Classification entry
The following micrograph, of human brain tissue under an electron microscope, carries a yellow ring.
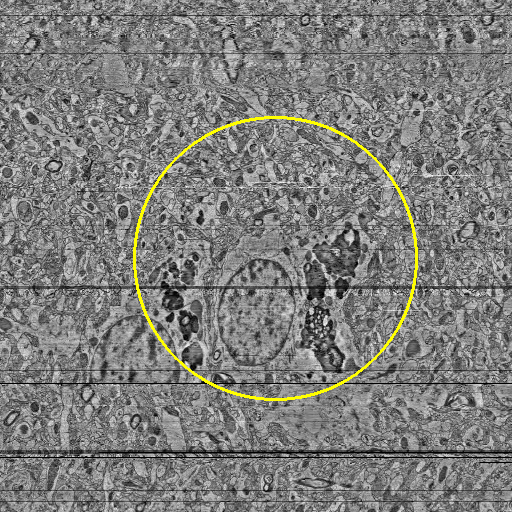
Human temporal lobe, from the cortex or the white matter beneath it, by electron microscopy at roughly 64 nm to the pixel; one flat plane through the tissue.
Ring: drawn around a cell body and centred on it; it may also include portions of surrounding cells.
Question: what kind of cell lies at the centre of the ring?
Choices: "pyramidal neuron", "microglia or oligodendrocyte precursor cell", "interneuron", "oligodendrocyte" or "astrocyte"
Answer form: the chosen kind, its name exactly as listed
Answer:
astrocyte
